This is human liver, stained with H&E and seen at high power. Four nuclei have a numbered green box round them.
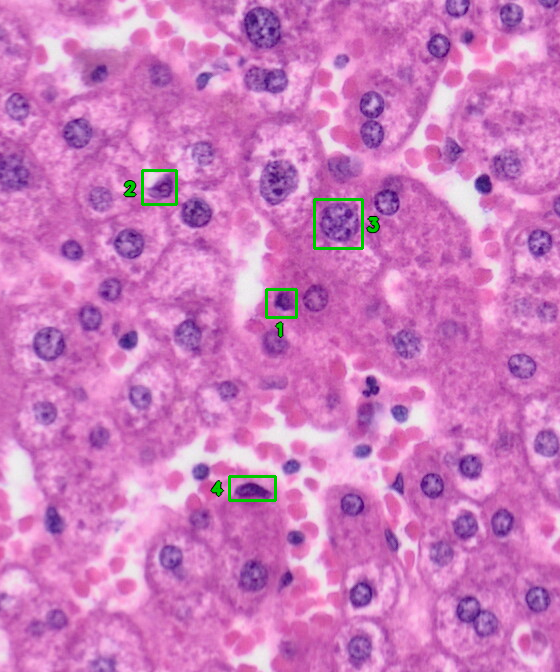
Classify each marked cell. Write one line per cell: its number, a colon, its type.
1: fibroblast or stellate cell
2: endothelial cell
3: hepatocyte
4: fibroblast or stellate cell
